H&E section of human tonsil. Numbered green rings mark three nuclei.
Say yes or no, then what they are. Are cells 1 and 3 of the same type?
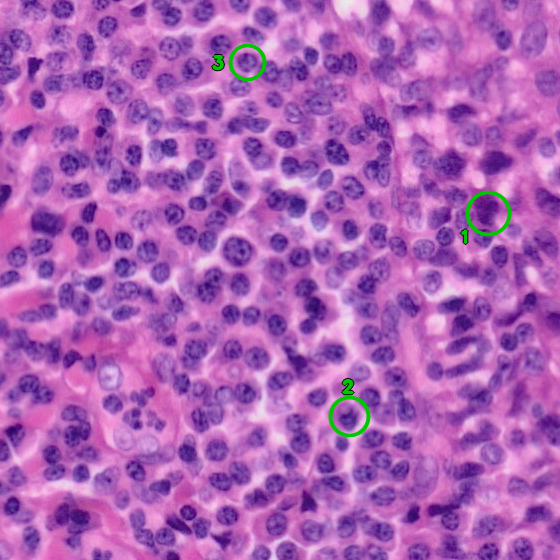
No, that's off: cell 1 is a squamous epithelial cell and cell 3 is a plasma cell.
